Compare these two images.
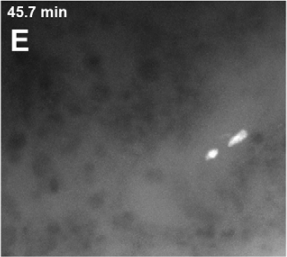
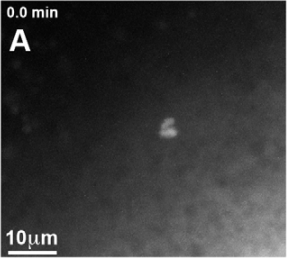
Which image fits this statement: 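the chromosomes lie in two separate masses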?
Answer: The first image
